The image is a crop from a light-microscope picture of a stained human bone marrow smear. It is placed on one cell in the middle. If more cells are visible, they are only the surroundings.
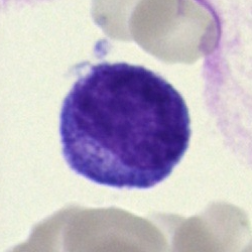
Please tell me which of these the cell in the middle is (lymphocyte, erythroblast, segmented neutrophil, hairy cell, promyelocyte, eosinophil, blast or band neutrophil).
promyelocyte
